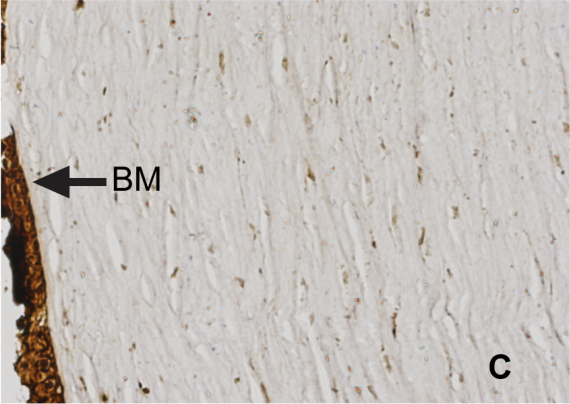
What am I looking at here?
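This section of cornea shows a narrow, darkly stained layer of epithelial cells at the far left, with a thin pale band beneath it, and a broad, mostly pale stroma to the right. The stroma consists of faint wavy lamellae with scattered small elongated cells, a few of which carry brown stain.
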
